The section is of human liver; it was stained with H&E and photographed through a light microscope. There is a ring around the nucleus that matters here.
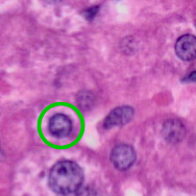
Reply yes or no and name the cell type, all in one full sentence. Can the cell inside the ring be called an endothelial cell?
No, not an endothelial cell: the cell inside the ring is a hepatocyte.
